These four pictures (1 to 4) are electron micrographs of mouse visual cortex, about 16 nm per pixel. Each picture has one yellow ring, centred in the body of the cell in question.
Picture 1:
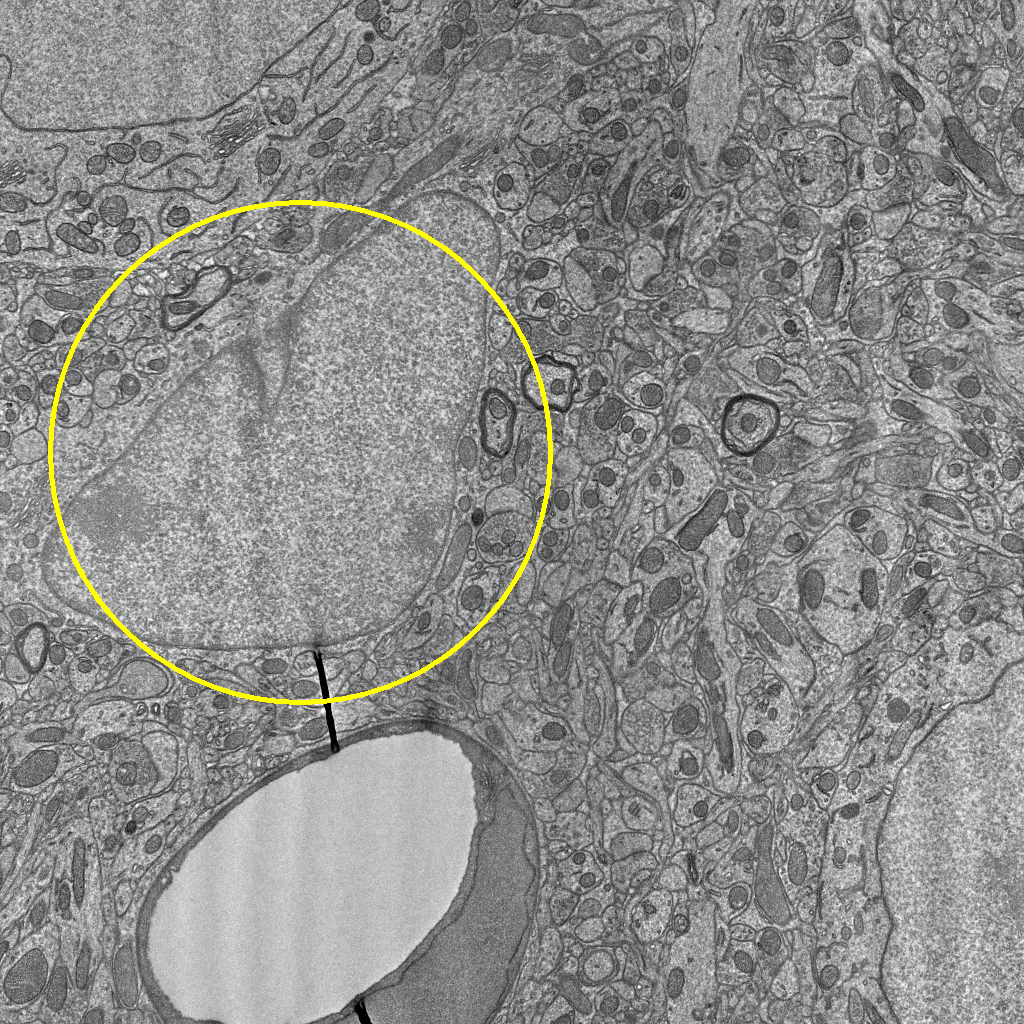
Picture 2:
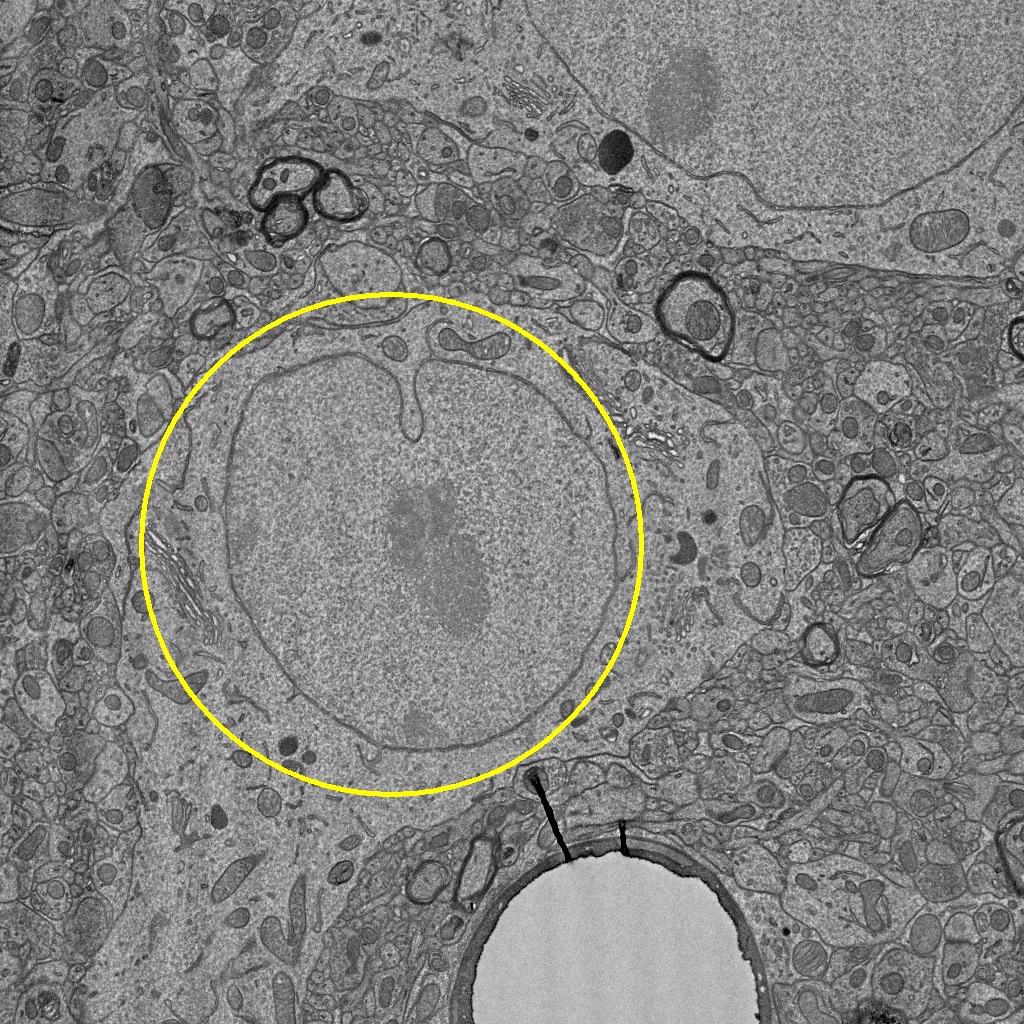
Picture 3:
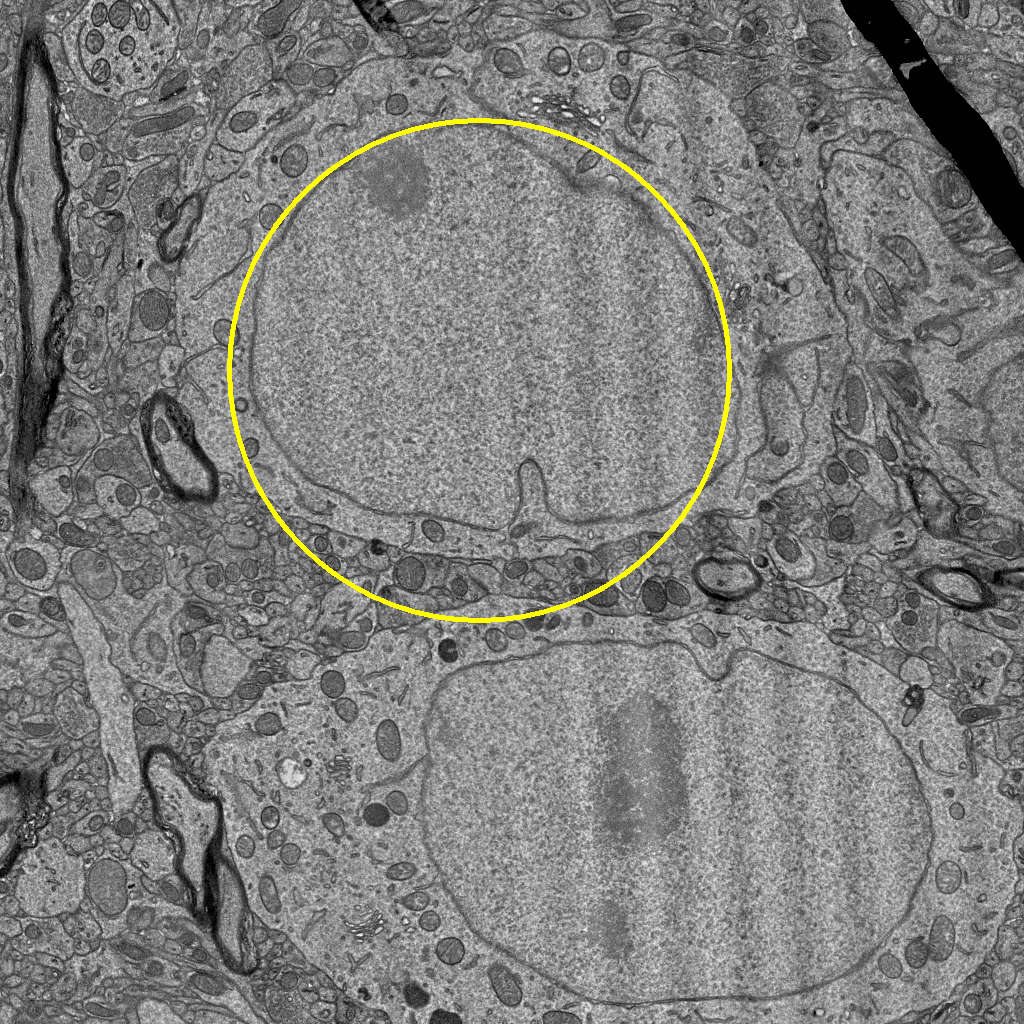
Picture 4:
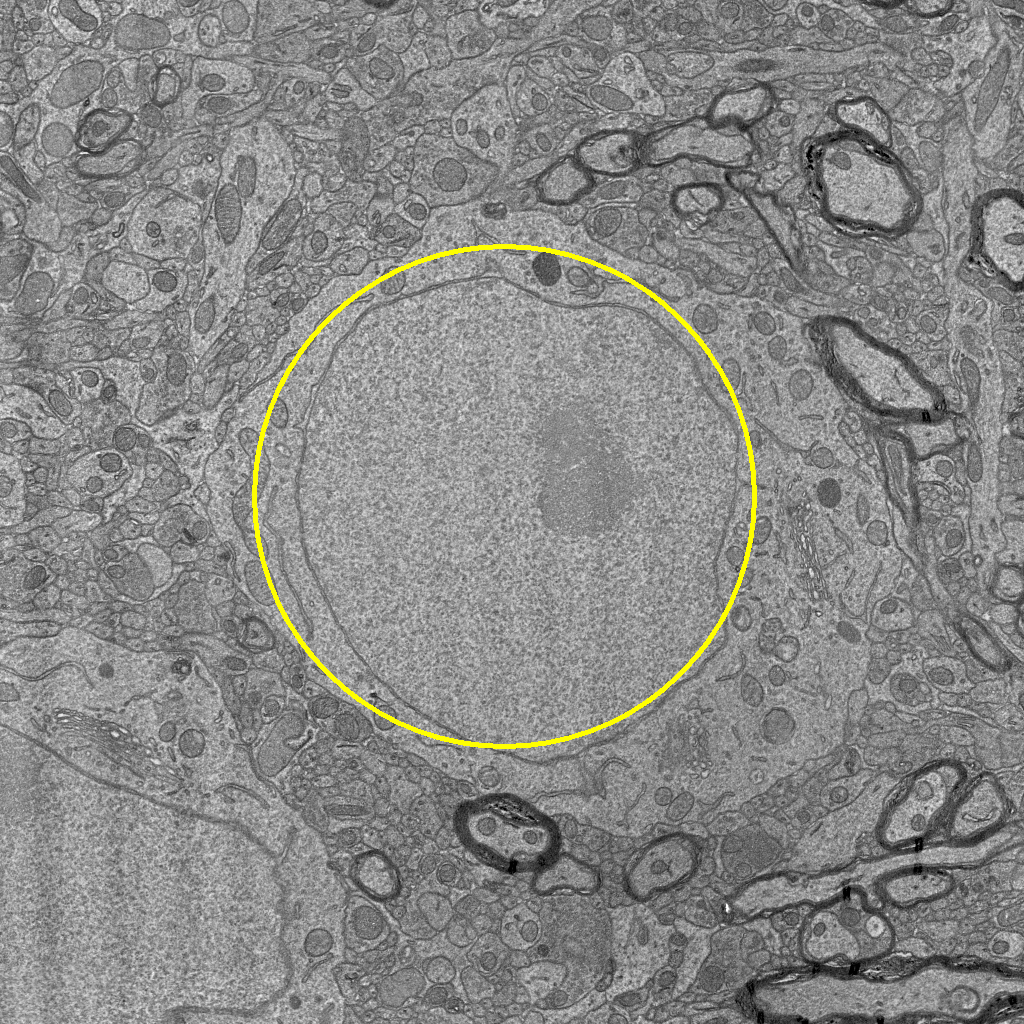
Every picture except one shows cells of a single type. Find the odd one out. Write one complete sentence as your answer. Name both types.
The different one is picture 1; it shows an astrocyte, whereas all the others show excitatory neurons.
